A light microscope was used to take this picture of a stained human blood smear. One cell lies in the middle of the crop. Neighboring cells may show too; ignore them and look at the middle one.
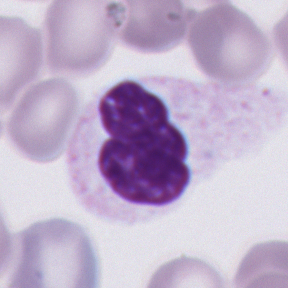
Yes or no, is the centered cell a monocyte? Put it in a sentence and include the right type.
No, a monocyte is not what the central cell is; it is a segmented neutrophil.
